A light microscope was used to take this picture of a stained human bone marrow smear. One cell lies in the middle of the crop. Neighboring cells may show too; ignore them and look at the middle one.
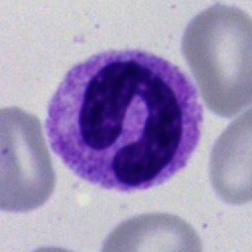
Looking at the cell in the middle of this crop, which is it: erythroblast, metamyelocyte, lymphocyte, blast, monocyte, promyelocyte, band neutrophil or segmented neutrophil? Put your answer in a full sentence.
At the center of the crop sits a band neutrophil.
